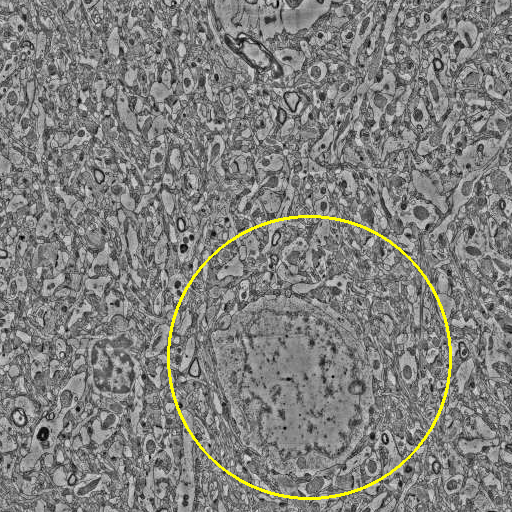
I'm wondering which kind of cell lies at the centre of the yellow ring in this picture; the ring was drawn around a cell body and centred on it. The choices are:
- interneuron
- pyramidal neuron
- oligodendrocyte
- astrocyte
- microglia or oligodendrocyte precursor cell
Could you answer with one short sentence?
At the centre of the ring lies an interneuron.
